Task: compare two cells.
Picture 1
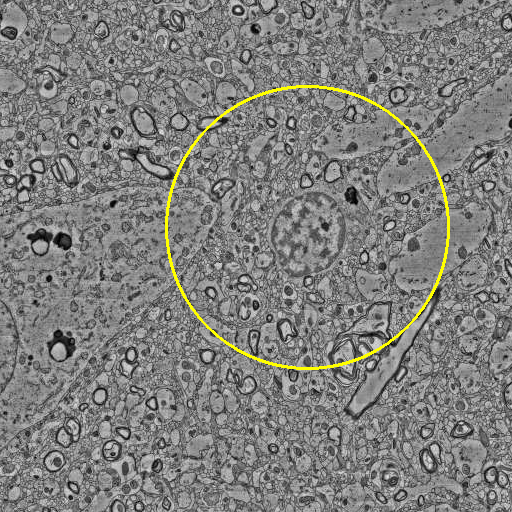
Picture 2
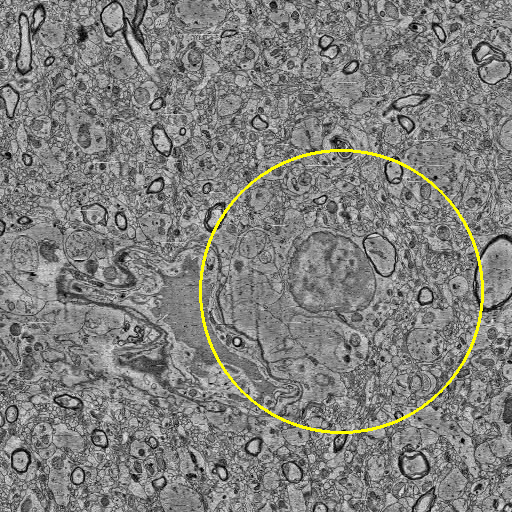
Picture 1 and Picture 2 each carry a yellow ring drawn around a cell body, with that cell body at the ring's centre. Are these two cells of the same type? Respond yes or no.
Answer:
yes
